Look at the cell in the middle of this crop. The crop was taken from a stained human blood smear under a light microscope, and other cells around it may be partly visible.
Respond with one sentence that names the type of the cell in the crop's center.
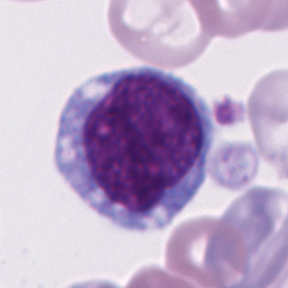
This crop's central cell is a monocyte.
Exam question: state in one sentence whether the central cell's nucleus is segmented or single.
The cell carries one compact nucleus shaped round, oval or like a kidney.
